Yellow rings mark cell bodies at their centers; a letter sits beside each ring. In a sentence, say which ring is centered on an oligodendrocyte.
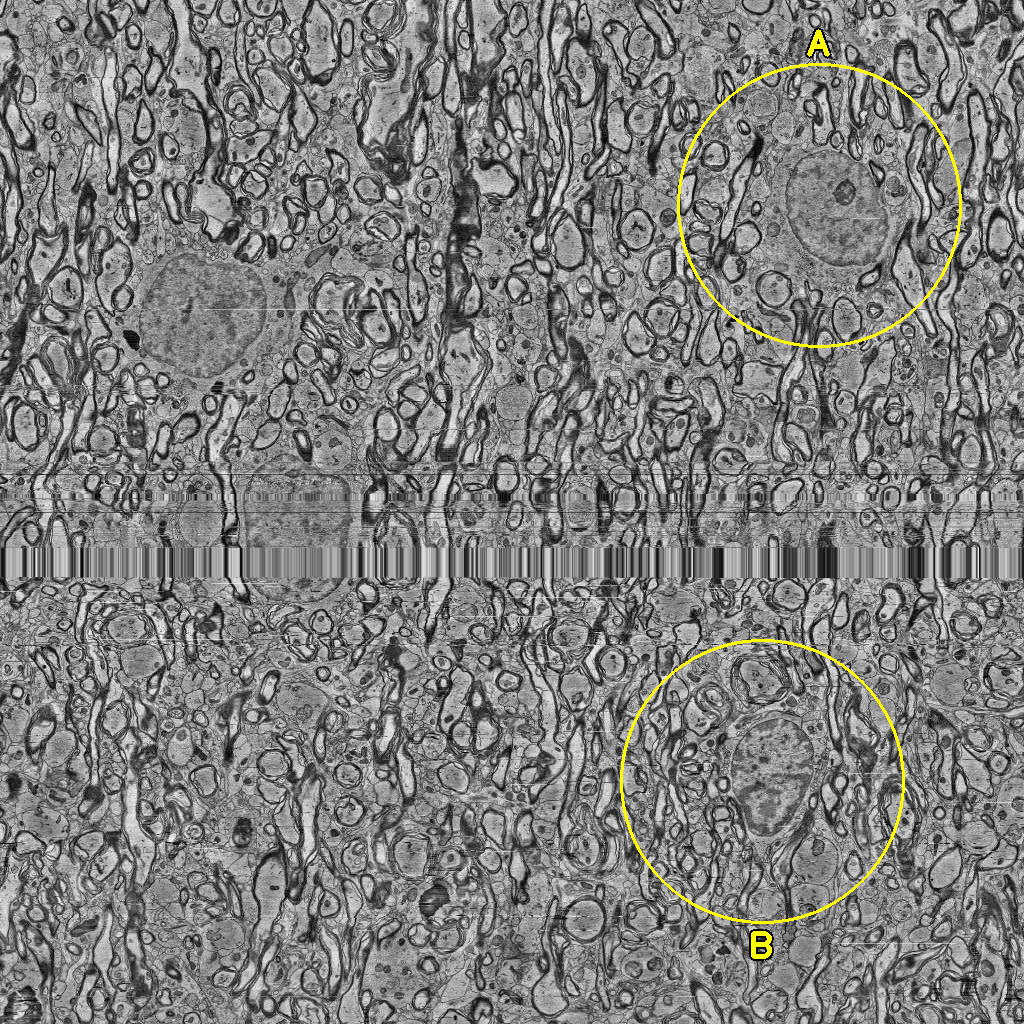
It is ring A.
